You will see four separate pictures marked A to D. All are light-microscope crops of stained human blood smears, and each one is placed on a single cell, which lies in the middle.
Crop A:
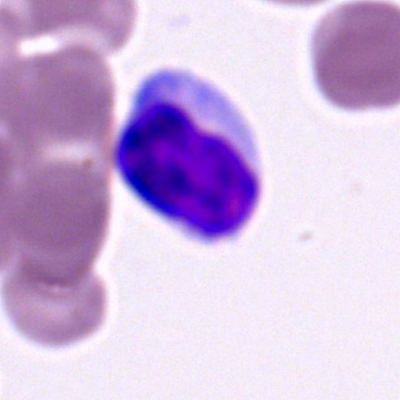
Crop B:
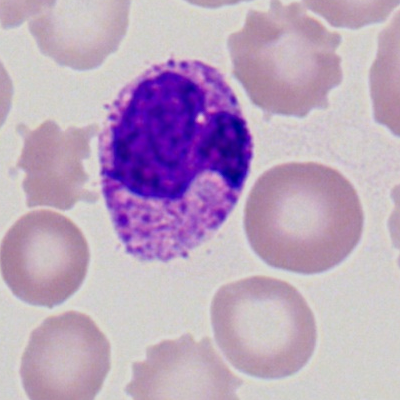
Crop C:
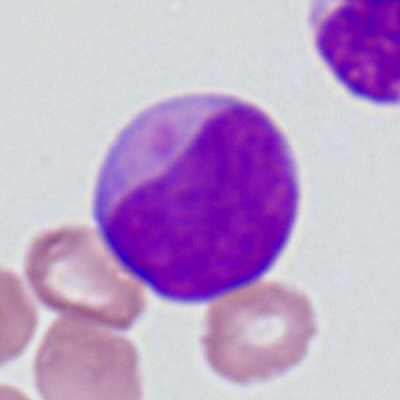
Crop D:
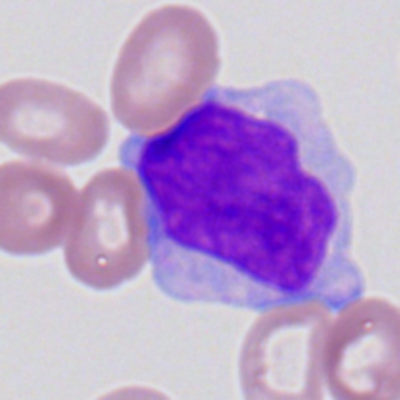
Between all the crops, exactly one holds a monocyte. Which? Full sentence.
Crop D is the crop containing a monocyte.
